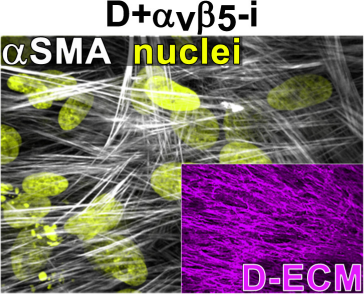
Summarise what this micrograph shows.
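These are cultured fibroblasts showing myofibroblastic features, with many long white filament bundles crossing their cytoplasm. Oval yellow nuclei are scattered among the bundles, and several overlap as the cells lie in layers.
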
